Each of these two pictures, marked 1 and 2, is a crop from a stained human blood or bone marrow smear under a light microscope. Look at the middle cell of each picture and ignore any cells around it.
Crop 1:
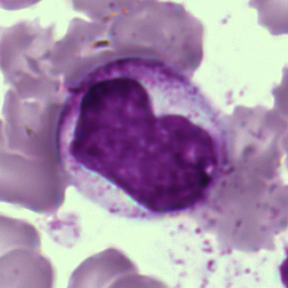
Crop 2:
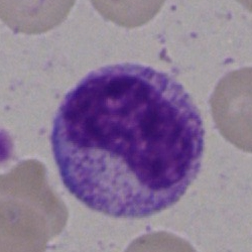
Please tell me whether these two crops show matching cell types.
yes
